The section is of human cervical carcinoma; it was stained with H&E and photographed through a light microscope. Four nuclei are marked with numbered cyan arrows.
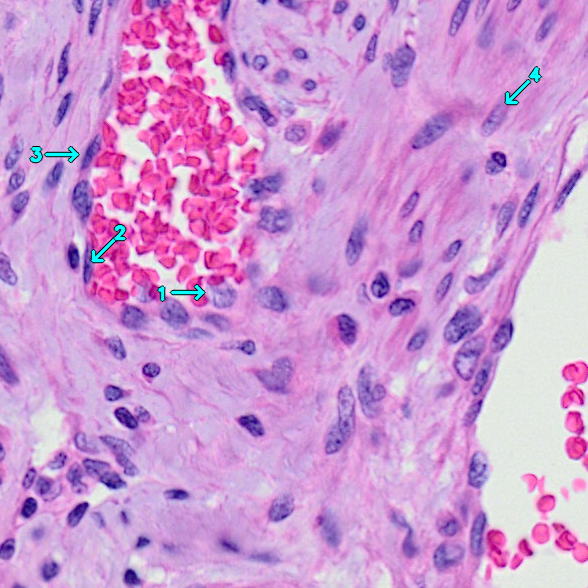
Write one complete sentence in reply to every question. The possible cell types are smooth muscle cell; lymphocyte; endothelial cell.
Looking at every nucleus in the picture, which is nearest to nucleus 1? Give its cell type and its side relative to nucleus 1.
The closest nucleus belongs to an endothelial cell and sits below nucleus 1.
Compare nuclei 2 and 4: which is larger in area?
At about 2 times the area of nucleus 2, nucleus 4 is the larger of the two.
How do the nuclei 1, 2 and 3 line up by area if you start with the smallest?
The order from the smallest nucleus to the largest is 2, 3, 1.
